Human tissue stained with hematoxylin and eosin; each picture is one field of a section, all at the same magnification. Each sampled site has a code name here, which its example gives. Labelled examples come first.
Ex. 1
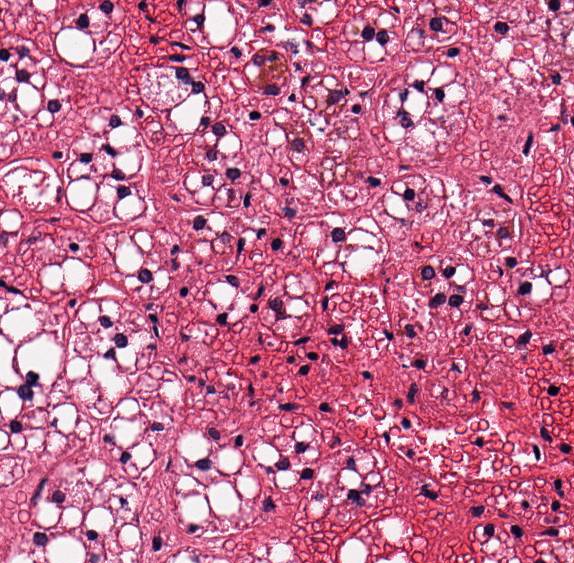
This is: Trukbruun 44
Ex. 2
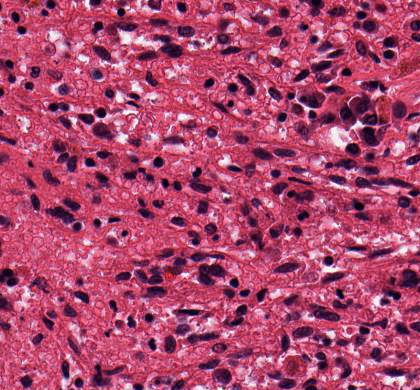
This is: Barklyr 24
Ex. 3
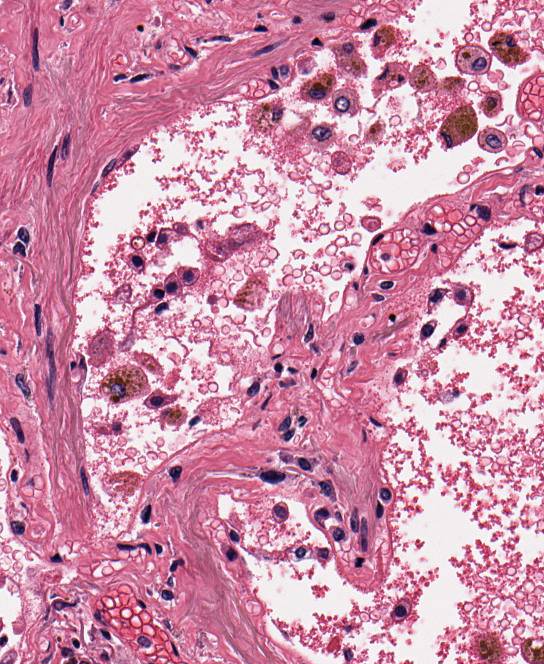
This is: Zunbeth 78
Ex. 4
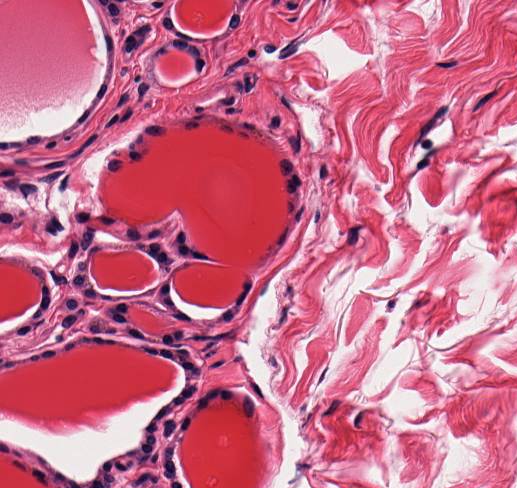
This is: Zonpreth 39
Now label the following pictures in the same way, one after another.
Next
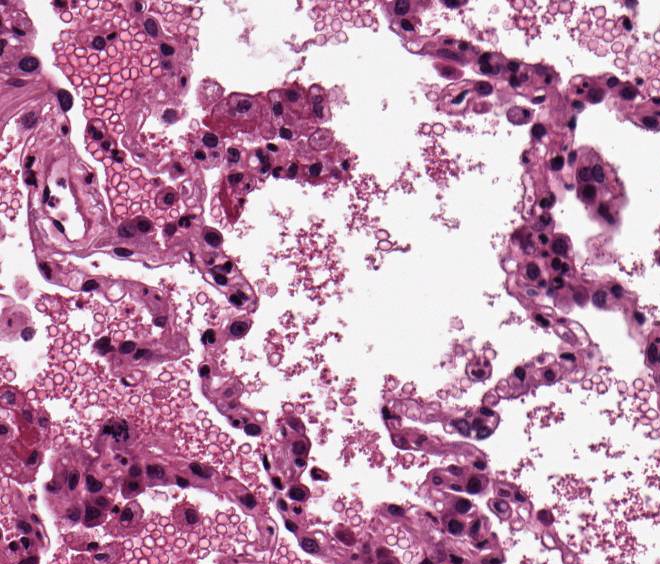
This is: Zunbeth 78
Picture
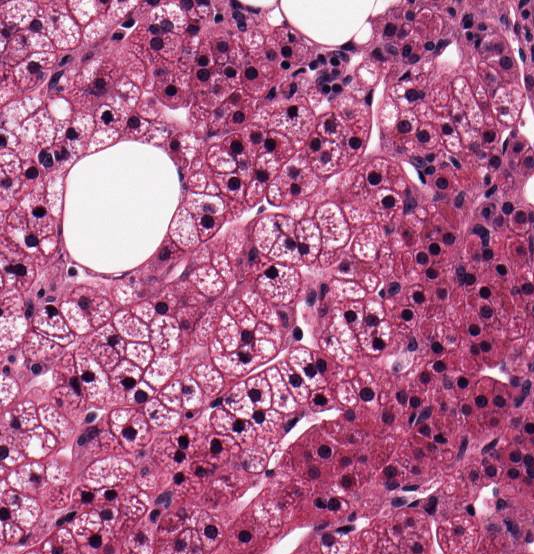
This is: Trukbruun 44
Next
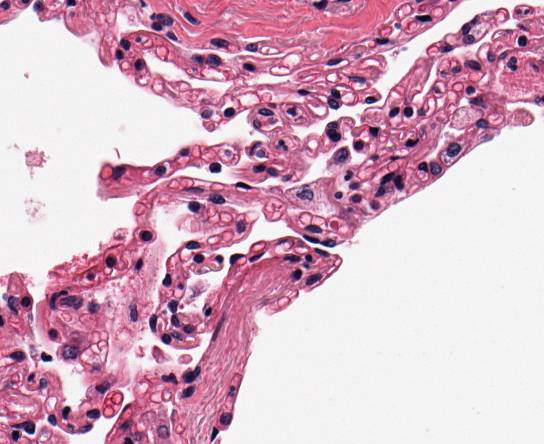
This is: Zunbeth 78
